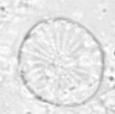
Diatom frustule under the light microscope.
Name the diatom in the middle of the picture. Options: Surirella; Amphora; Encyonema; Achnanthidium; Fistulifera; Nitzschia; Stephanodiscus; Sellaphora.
Stephanodiscus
